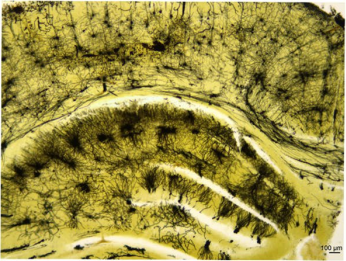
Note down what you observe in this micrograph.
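A section of hippocampus is shown on a yellowish background, with neurons stained black. Between the bands lie lighter regions crossed by a meshwork of fine stained fibres. A white cleft separates parts of the layered tissue.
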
